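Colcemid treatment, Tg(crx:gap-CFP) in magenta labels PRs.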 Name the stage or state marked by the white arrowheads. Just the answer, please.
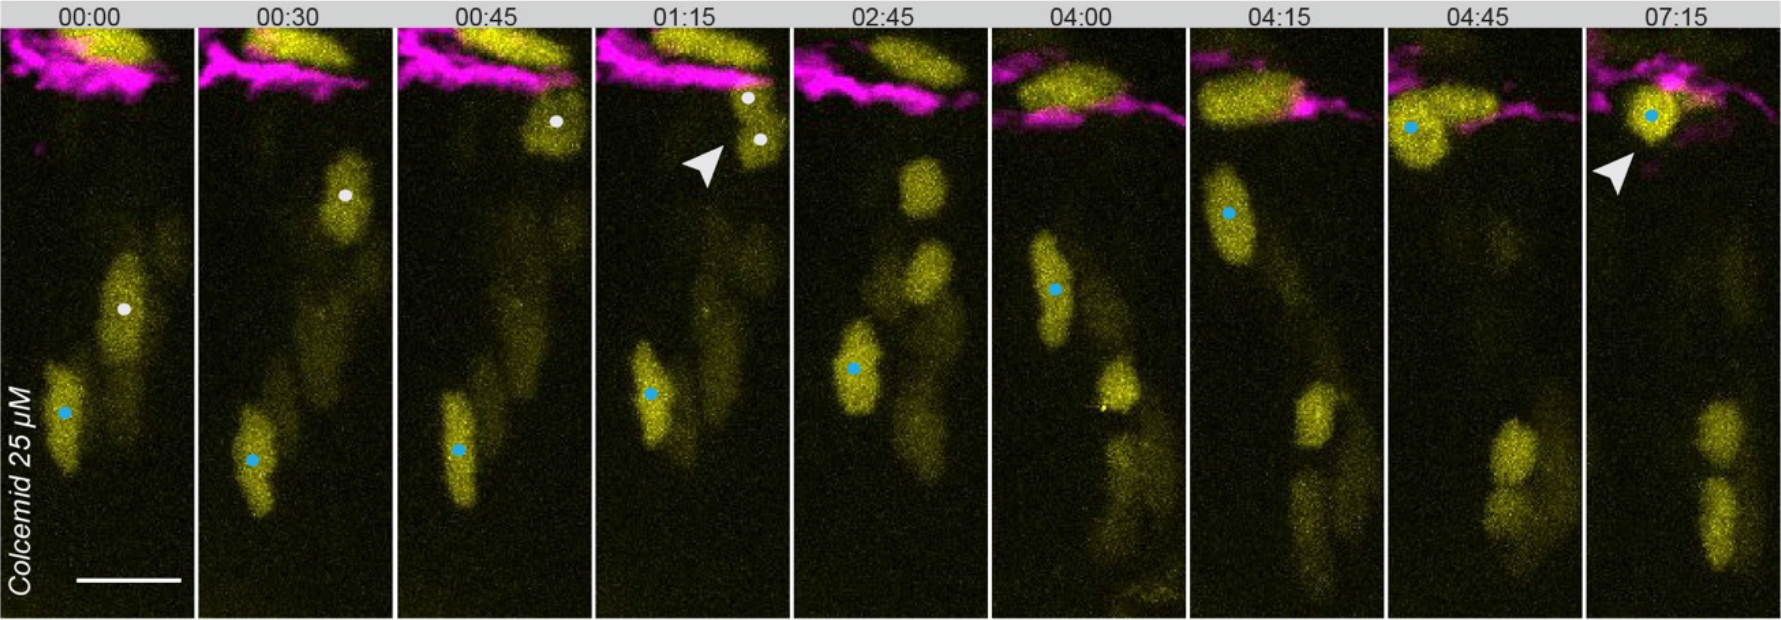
Apical mitosis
